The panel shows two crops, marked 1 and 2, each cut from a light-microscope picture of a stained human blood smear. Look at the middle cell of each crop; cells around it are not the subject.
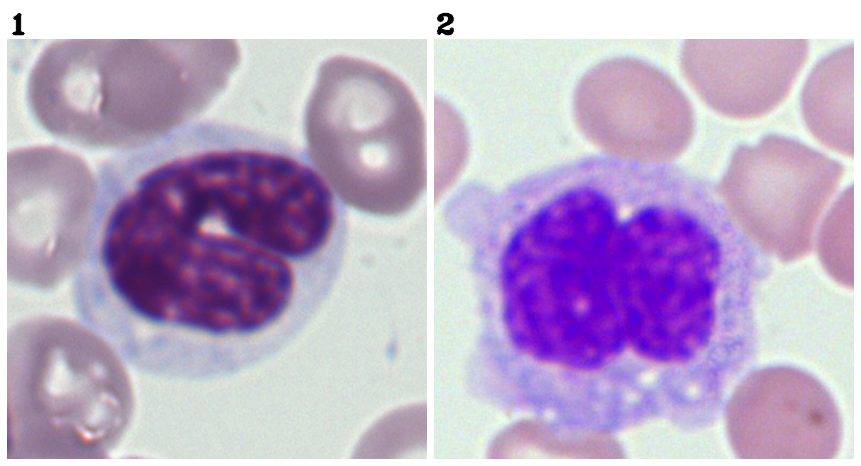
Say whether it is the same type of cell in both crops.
no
